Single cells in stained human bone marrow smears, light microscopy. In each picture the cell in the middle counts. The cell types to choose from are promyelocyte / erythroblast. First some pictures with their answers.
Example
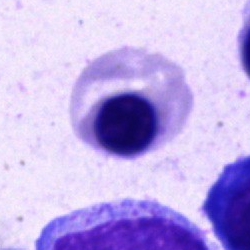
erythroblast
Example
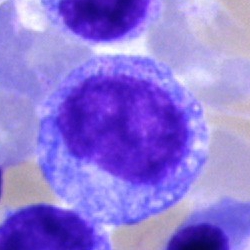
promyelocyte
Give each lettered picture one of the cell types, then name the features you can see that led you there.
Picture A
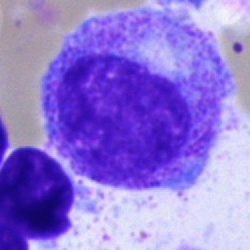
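promyelocyte. The chromatin looks finely granular rather than coarsely clumped.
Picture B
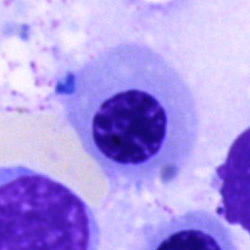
erythroblast. The chromatin is dark purple and coarsely clumped.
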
